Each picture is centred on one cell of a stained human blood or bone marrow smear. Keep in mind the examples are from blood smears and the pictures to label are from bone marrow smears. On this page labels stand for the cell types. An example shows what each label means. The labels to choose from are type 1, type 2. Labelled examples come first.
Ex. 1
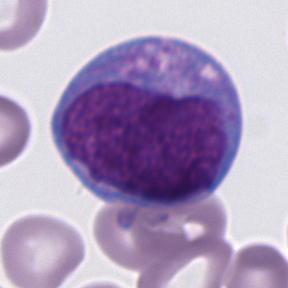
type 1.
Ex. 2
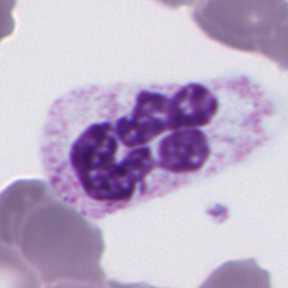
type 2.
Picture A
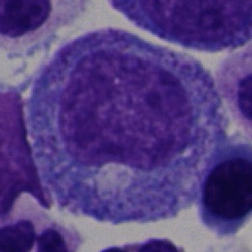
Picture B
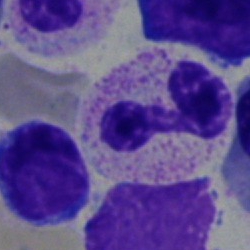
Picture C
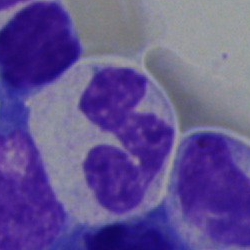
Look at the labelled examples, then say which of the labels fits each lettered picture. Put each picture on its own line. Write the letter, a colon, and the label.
A: type 1.
B: type 2.
C: type 2.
